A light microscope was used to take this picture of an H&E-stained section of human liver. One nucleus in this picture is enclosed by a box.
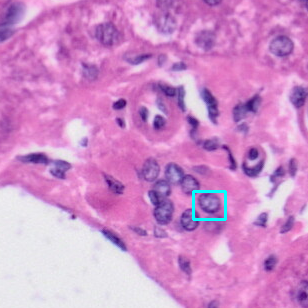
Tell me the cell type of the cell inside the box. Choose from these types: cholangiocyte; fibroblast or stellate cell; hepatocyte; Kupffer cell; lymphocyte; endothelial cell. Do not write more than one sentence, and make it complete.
In this tissue sample, the cell inside the box is a cholangiocyte.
